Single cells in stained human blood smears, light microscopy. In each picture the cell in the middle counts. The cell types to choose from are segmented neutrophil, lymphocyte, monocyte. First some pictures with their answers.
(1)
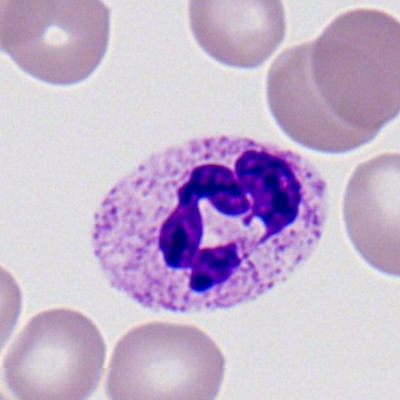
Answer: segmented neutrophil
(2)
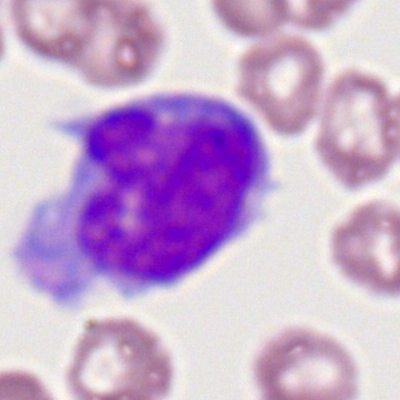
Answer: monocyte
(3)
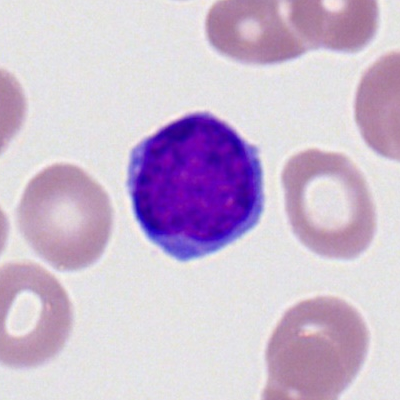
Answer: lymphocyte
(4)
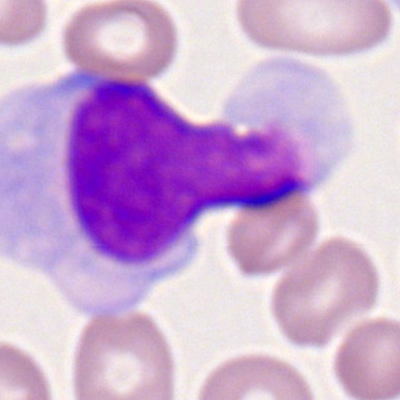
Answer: monocyte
